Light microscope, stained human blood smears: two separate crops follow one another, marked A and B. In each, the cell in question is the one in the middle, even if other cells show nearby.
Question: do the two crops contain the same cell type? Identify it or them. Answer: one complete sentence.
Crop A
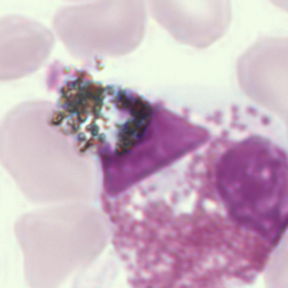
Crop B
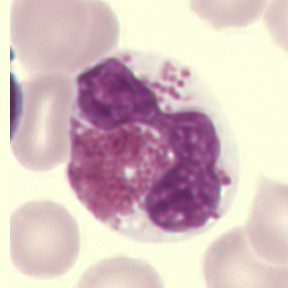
Yes, it is eosinophils that sit at the centre of both crops.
